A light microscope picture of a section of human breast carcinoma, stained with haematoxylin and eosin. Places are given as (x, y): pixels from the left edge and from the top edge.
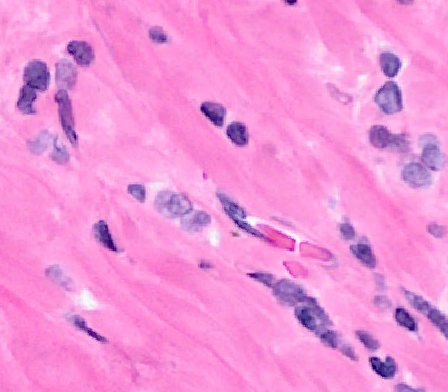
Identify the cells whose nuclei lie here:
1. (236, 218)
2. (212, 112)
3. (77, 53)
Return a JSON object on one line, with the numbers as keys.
{"1": "endothelial cell", "2": "lymphocyte", "3": "lymphocyte"}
